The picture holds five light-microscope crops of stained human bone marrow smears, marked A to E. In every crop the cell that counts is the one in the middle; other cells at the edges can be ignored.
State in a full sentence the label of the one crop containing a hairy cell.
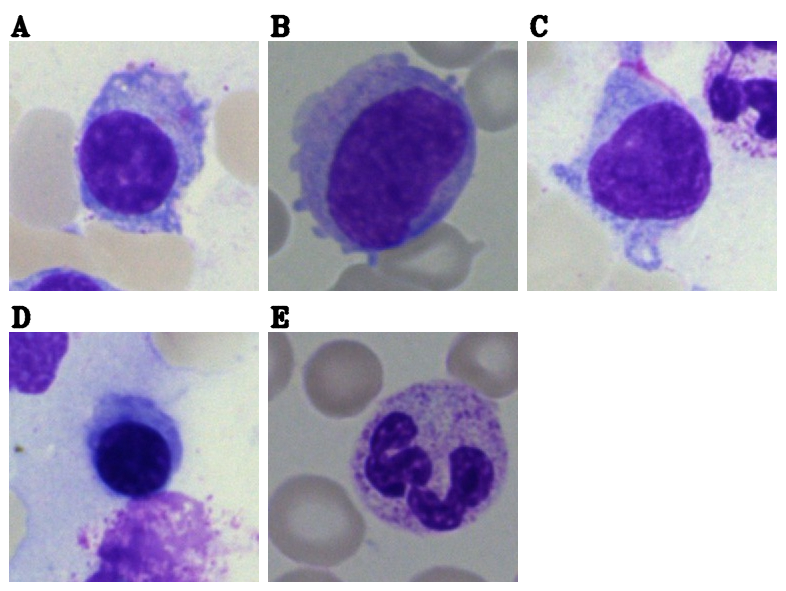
Among the crops, only crop C contains a hairy cell.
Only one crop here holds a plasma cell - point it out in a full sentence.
Among all the crops given here, the one with a plasma cell is crop A.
